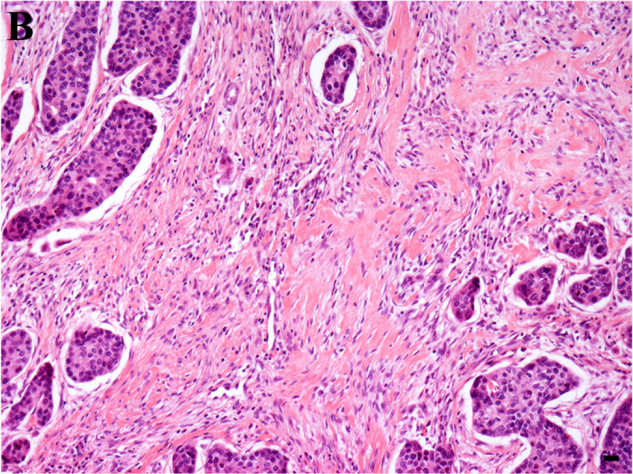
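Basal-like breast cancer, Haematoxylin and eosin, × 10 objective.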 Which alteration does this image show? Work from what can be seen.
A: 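Broad areas of pink collagenous stroma with spindle-shaped cells. Tumour cell nests are separated by this fibrous tissue. The answer: Tumour fibrosis.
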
